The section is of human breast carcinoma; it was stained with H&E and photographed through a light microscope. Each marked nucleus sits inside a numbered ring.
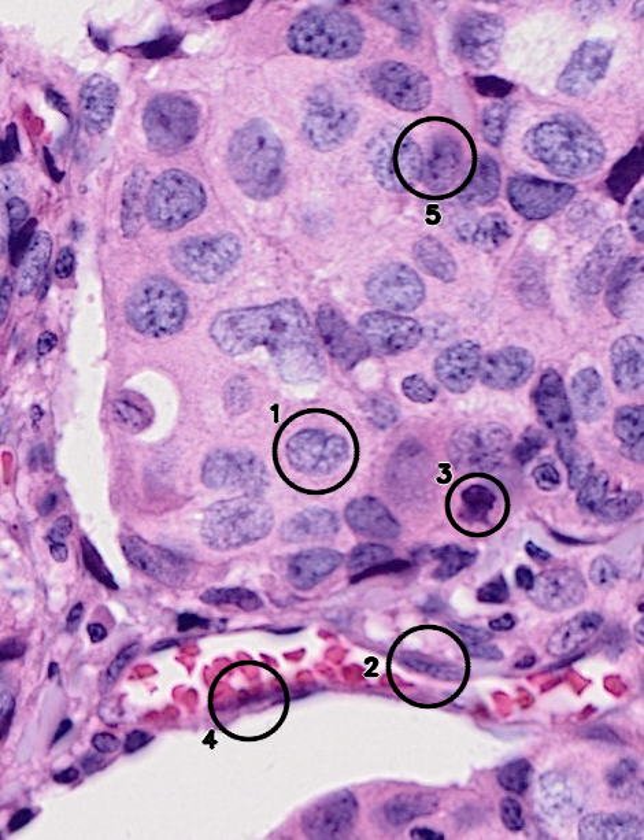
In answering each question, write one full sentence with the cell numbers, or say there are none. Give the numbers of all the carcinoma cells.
Cells numbered 1, 3 and 5 belong to the group of carcinoma cells.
